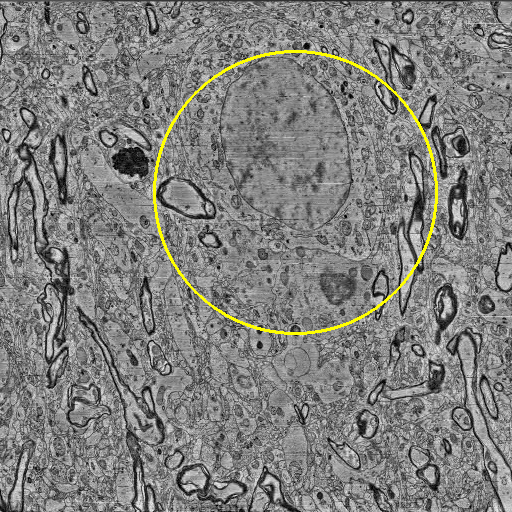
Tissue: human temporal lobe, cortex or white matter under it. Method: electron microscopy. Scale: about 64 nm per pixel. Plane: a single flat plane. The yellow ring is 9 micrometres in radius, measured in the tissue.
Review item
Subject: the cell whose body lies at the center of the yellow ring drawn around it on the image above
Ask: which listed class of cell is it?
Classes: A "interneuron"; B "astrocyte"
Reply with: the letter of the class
A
